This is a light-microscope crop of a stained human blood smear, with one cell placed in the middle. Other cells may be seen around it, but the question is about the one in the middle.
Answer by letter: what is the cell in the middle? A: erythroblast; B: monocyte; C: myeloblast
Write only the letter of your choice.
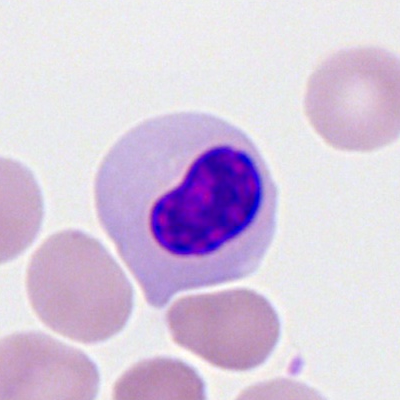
A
